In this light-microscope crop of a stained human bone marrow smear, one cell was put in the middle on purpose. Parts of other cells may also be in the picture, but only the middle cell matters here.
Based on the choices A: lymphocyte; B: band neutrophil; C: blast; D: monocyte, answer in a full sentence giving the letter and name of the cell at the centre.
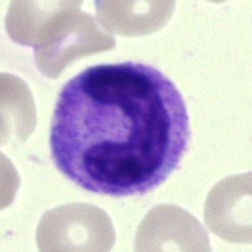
In the centre of the crop there is a band neutrophil, making option B correct.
